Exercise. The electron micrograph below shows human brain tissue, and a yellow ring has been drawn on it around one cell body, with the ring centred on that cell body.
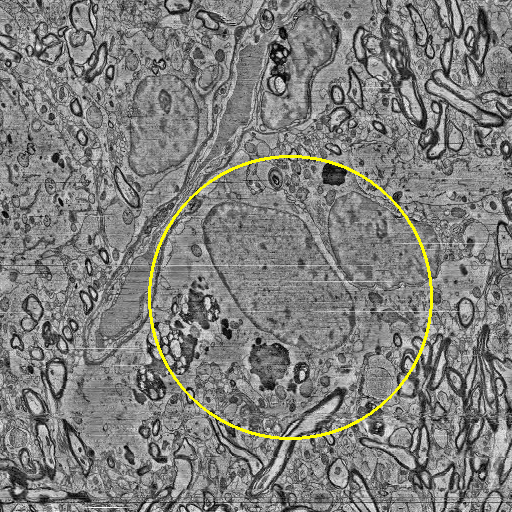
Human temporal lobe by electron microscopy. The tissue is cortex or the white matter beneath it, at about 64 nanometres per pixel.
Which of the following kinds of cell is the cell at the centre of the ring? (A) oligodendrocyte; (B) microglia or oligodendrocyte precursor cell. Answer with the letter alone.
B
